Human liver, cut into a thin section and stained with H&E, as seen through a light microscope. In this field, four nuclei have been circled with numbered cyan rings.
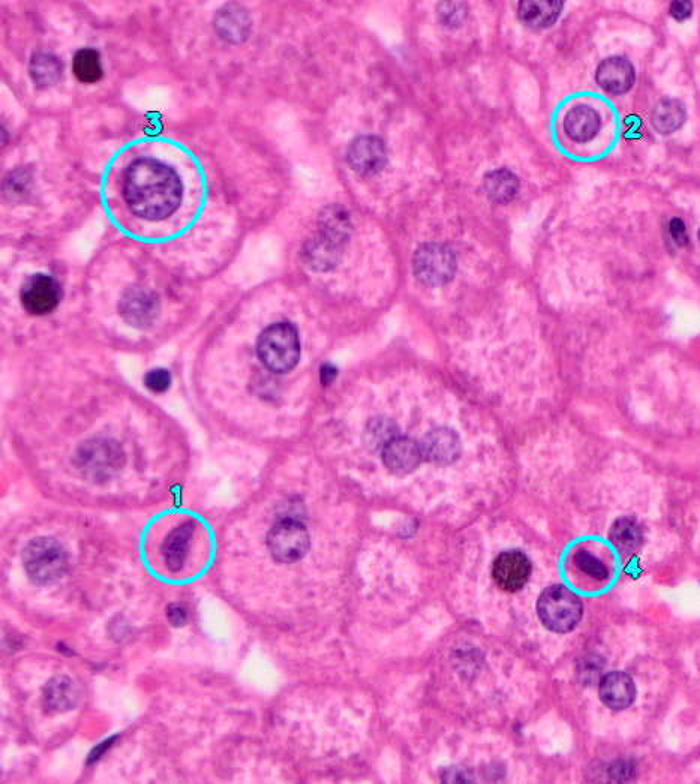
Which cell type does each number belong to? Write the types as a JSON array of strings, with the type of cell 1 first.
["Kupffer cell", "hepatocyte", "hepatocyte", "fibroblast or stellate cell"]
